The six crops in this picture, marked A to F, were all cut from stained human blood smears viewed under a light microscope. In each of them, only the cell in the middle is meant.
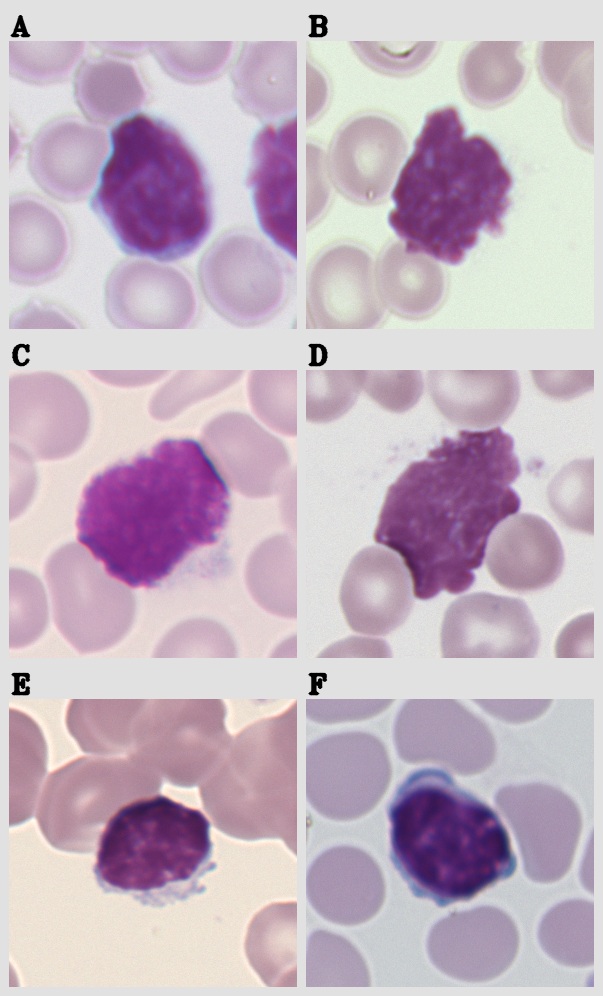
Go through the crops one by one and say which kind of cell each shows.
A: typical lymphocyte
B: smudge cell
C: smudge cell
D: smudge cell
E: typical lymphocyte
F: typical lymphocyte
